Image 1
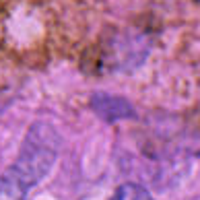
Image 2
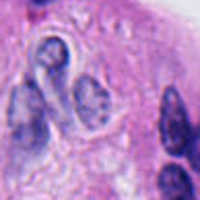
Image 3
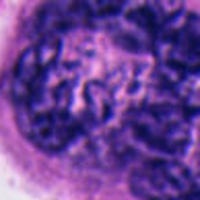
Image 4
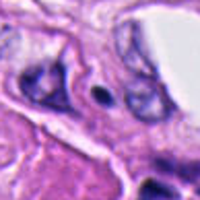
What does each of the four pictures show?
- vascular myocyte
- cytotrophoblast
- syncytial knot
(1) vascular myocyte
(2) cytotrophoblast
(3) syncytial knot
(4) cytotrophoblast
